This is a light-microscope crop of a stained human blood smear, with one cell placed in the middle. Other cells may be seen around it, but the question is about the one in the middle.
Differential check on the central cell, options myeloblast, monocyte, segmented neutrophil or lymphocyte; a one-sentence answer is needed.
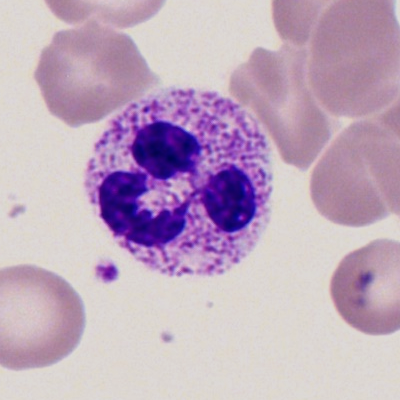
Among the cells in view, the one in the middle is a segmented neutrophil.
